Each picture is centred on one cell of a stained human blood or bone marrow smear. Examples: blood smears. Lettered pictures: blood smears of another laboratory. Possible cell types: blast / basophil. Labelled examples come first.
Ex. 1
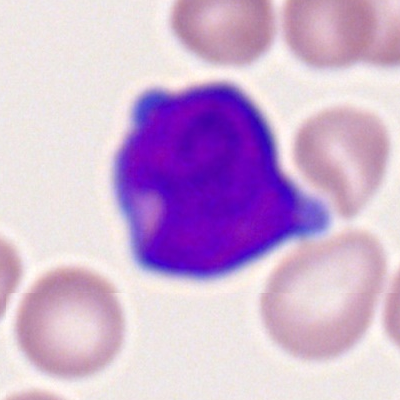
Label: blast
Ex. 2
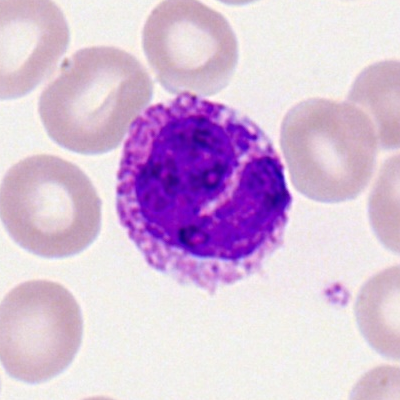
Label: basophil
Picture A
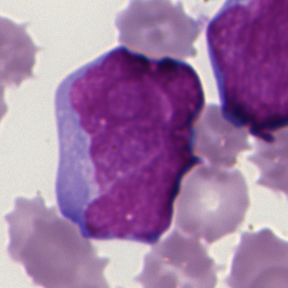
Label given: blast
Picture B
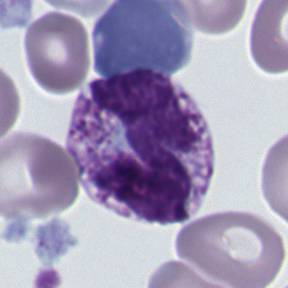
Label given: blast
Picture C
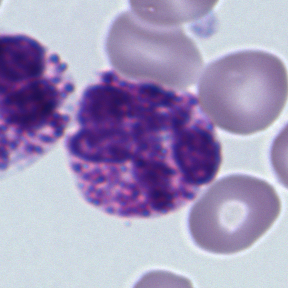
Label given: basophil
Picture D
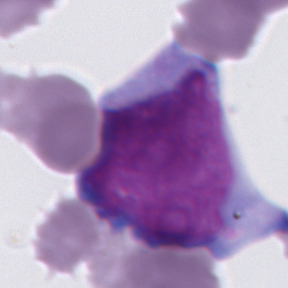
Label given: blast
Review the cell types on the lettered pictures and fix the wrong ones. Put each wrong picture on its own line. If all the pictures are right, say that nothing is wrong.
B: change blast to basophil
